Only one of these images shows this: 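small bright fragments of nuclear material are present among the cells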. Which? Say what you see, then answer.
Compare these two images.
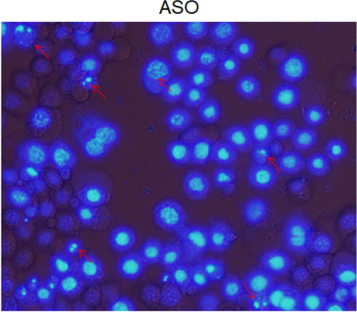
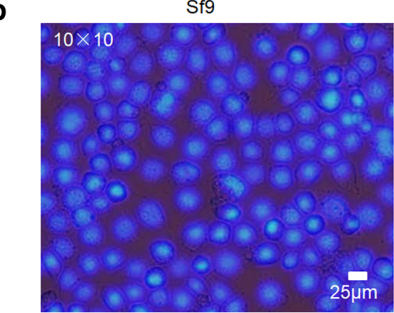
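The first image. First image: several small, intensely bright nuclear fragments lie among the cells, and many nuclei are compact and bright. Second image: densely packed cells with evenly stained, dimmer nuclei and no bright fragments.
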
